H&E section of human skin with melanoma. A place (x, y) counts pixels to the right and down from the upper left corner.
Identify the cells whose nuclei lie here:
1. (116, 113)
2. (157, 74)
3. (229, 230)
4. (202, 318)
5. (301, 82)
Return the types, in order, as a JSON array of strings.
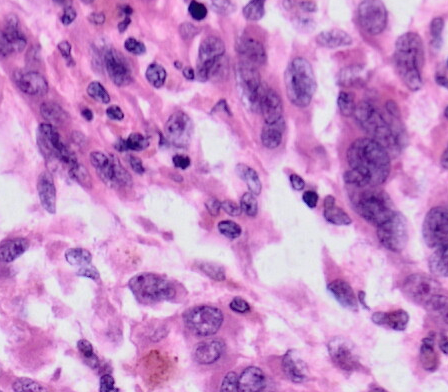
["lymphocyte", "lymphocyte", "lymphocyte", "melanoma cell", "melanoma cell"]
